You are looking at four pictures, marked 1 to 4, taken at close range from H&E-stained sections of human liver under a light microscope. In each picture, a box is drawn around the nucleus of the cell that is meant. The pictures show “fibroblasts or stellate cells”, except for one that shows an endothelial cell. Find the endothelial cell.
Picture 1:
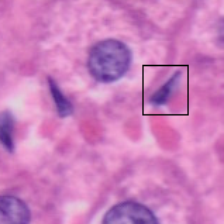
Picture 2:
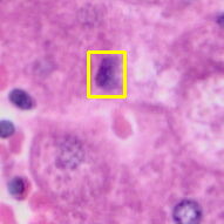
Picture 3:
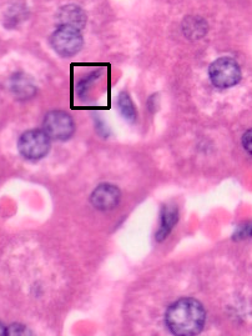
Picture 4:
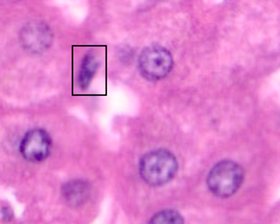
1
